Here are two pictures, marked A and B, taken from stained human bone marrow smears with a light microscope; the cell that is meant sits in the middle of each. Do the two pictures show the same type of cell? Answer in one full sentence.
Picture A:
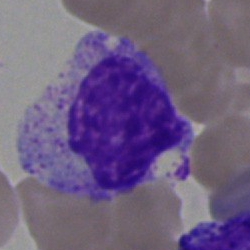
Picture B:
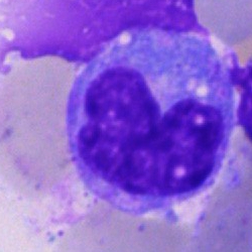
No. Picture A shows a myelocyte, but picture B shows a monocyte.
